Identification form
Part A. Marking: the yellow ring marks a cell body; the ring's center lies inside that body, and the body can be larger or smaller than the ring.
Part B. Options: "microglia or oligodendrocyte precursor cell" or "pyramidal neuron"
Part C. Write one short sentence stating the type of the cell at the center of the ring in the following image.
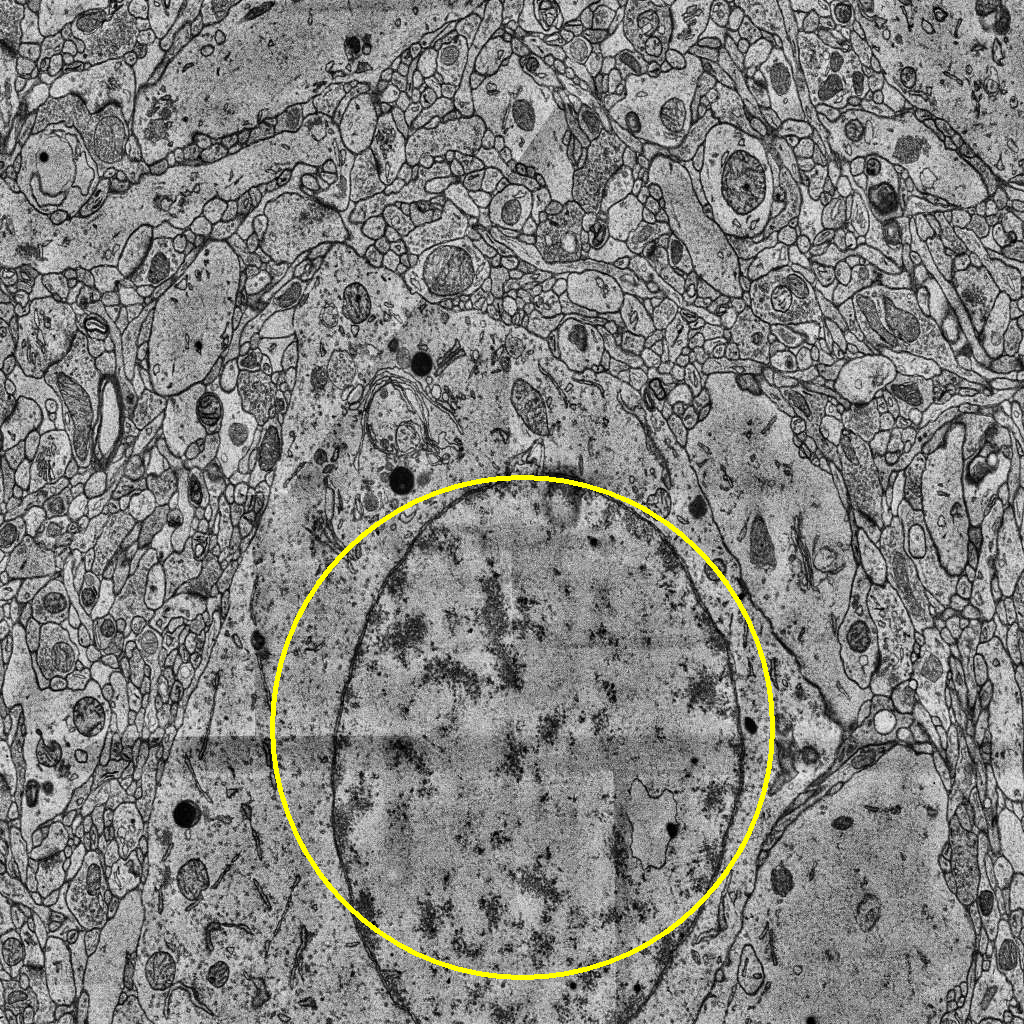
The center of the ring holds a pyramidal neuron.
